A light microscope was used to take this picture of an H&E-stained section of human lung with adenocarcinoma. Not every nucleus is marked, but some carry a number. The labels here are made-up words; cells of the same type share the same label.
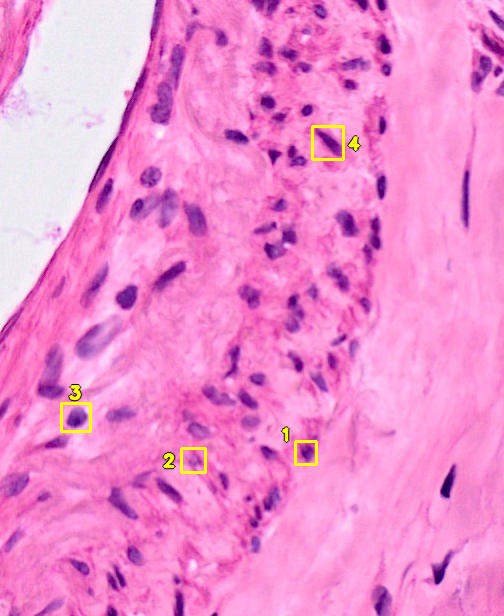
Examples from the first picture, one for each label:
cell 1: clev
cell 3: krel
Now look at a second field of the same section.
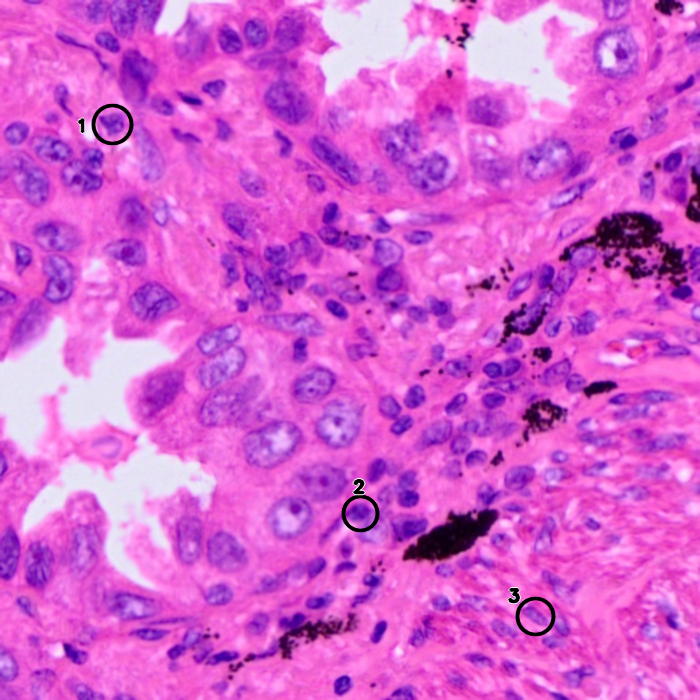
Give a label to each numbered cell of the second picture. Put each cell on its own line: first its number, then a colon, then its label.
1: krel
2: krel
3: clev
